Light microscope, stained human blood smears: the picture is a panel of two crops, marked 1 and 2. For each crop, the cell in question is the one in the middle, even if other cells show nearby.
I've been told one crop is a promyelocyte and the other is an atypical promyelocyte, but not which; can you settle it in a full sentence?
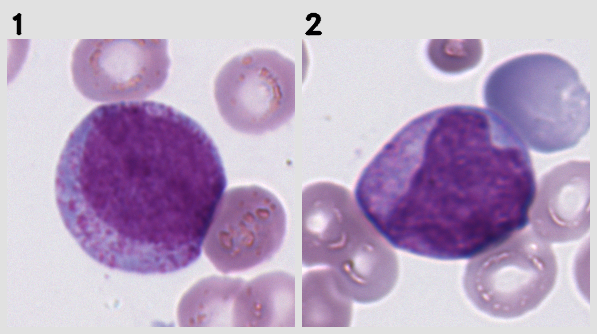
There is a promyelocyte in crop 1 and an atypical promyelocyte in crop 2.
